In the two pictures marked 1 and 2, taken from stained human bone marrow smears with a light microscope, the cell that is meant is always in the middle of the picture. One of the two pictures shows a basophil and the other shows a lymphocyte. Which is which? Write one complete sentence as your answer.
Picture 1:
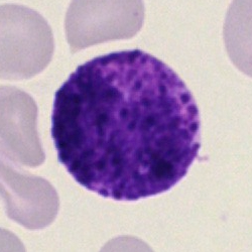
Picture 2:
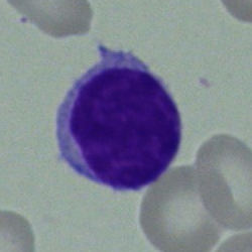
Picture 1 shows a basophil and picture 2 shows a lymphocyte.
